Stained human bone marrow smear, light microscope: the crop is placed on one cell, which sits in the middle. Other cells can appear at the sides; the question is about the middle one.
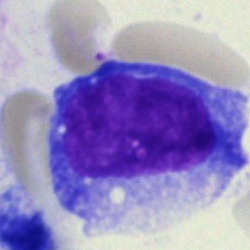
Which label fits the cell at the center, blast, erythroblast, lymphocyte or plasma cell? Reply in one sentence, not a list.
The cell around which this crop is centred is a blast.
